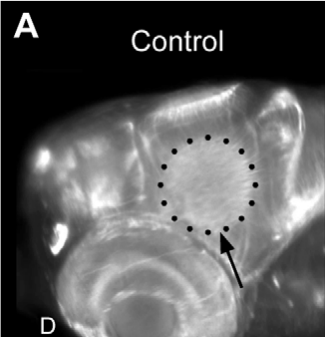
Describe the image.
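The eye sits low and anterior, with a round lens surrounded by concentric bright fibrous layers. Dorsal and posterior to the eye, the tectum appears as a rounded, finely fibrous region marked by a dotted circle and an arrow. Bright fibre bundles run across the surrounding brain and over the top of the head.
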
